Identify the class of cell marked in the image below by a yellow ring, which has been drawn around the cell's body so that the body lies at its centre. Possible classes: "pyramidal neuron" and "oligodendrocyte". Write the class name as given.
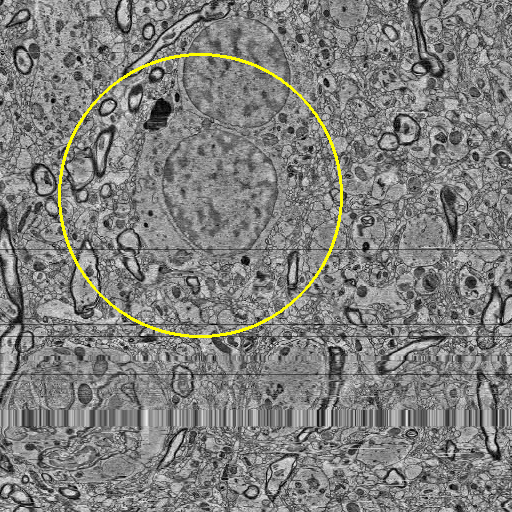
oligodendrocyte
